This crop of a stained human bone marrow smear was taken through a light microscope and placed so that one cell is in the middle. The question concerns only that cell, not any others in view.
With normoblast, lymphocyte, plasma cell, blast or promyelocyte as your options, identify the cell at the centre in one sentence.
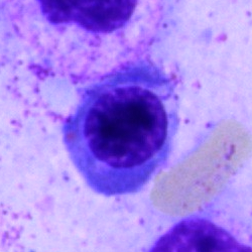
The cell at the central position in this crop is a normoblast.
